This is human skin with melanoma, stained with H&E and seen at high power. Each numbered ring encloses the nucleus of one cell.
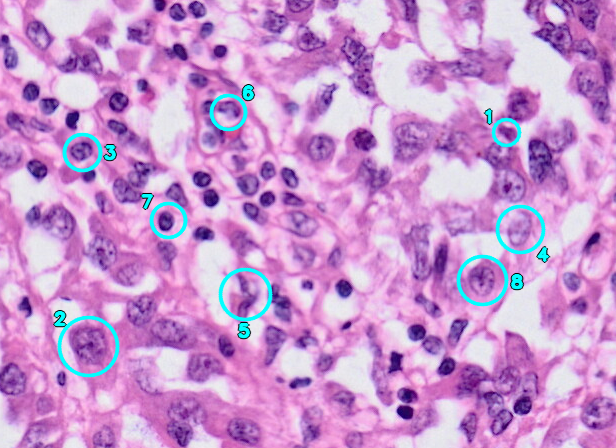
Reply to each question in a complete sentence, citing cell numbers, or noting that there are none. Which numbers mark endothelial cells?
Cell 6 is an endothelial cell, while every other numbered cell is not.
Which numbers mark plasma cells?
Among the labelled cells, only the cell labelled 3 is a plasma cell.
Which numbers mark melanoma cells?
The cells marked with the numbers 1, 2, 4 and 8 are melanoma cells.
